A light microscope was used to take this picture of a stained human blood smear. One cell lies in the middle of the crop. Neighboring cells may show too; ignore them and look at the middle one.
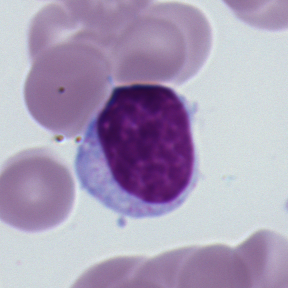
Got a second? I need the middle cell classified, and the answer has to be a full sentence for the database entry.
The middle position in this crop is taken by a large granular lymphocyte.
